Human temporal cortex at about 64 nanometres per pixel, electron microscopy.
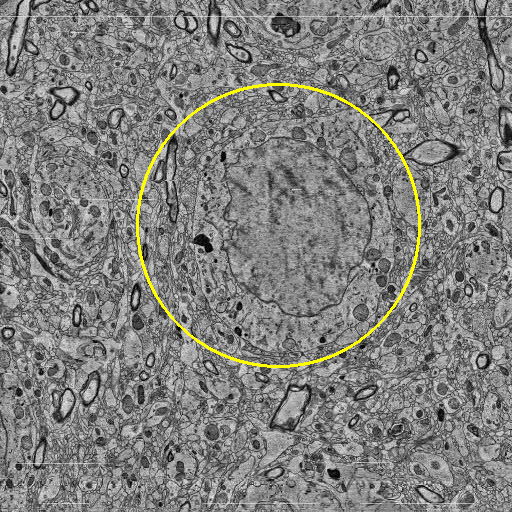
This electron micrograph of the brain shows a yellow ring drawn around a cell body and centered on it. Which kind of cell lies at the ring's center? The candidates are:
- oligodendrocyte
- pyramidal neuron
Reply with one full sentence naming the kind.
The cell lying at the ring's center in this micrograph is a pyramidal neuron.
